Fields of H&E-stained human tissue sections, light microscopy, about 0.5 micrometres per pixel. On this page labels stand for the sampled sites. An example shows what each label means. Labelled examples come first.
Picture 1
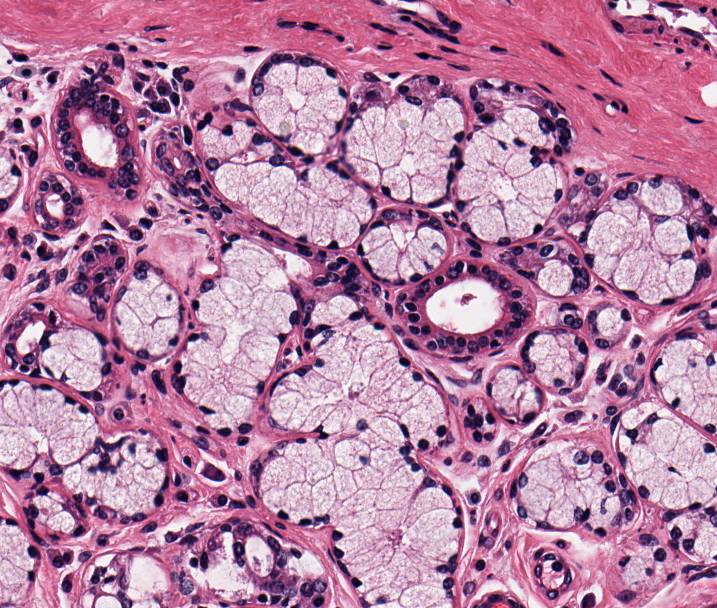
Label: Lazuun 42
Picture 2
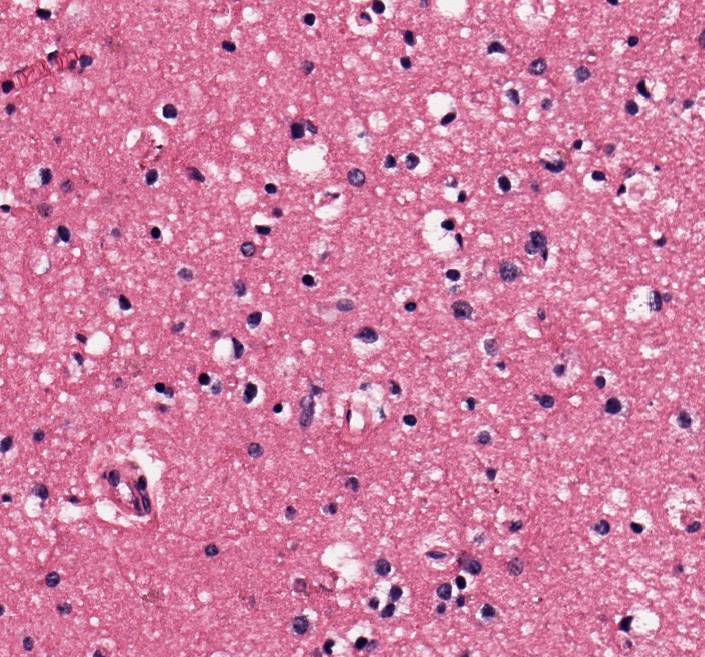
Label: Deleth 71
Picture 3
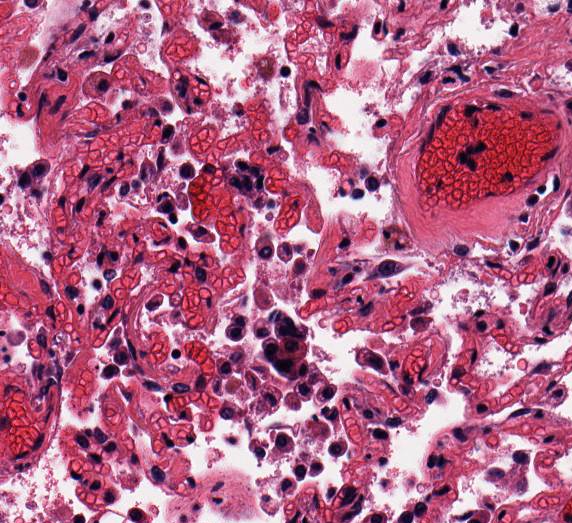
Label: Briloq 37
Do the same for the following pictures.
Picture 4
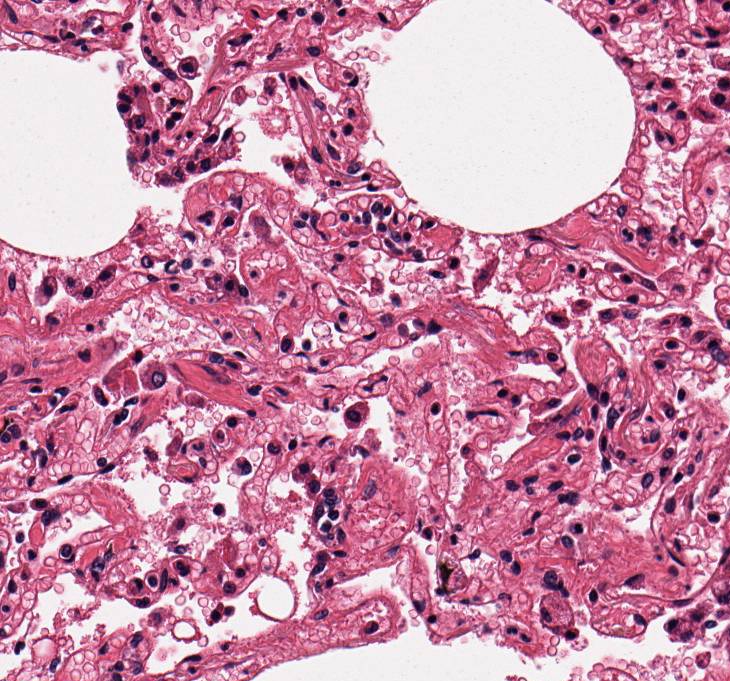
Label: Briloq 37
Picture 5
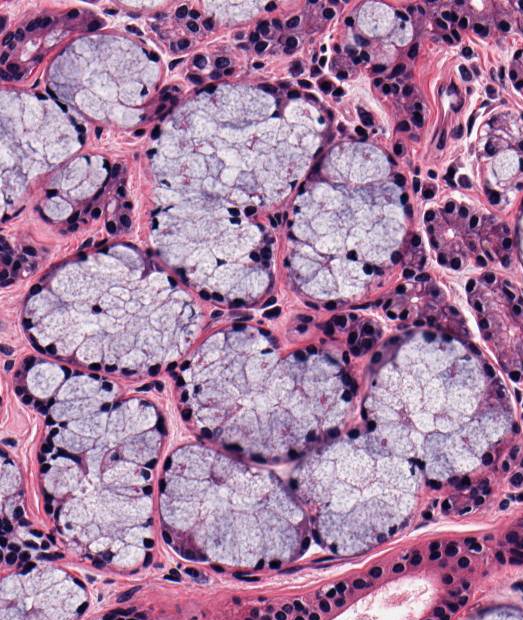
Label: Lazuun 42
